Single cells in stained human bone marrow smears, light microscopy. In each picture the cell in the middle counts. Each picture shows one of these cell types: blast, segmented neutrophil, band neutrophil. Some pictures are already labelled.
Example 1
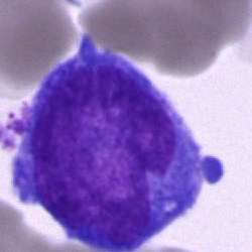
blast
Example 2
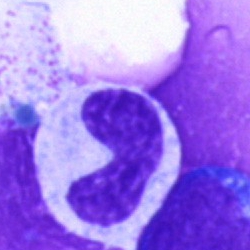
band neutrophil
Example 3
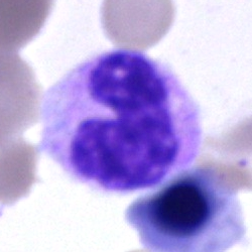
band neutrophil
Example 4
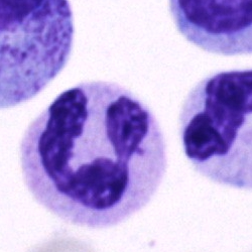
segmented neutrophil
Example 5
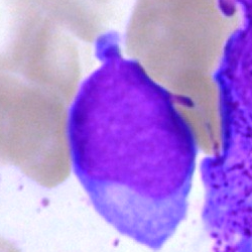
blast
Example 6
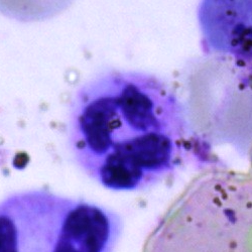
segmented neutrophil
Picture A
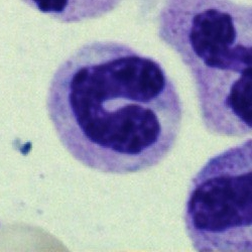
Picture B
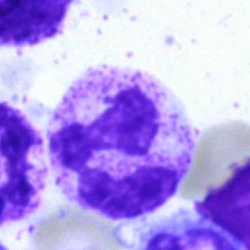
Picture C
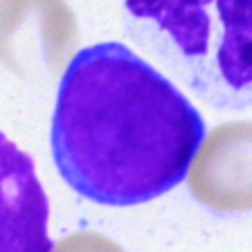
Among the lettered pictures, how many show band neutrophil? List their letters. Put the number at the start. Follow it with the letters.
1: A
